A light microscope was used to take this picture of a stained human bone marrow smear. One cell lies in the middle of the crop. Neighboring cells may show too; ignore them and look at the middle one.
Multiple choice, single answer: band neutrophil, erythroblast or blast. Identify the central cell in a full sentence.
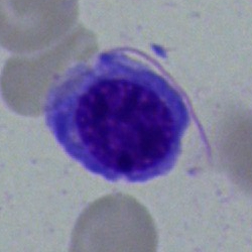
The cell of interest, located centrally, is an erythroblast.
